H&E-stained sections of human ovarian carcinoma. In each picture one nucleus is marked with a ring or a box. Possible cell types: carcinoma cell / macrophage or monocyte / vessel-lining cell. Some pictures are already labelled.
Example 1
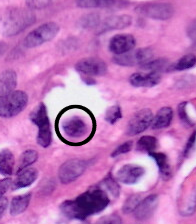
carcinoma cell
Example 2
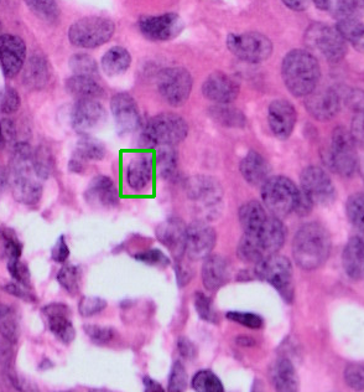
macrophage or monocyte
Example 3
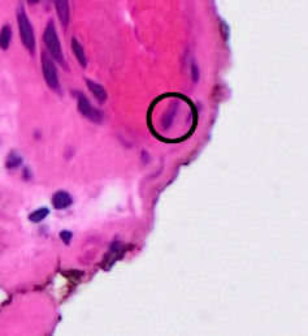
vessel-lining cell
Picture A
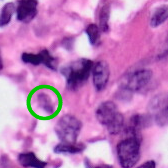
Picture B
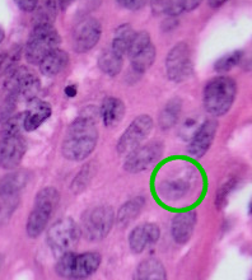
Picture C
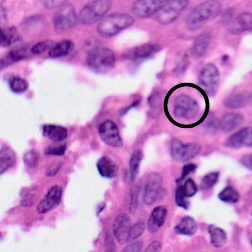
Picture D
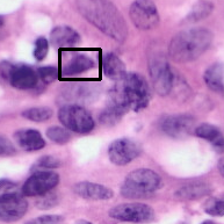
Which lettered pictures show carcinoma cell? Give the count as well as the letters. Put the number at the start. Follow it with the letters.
2, namely B, D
